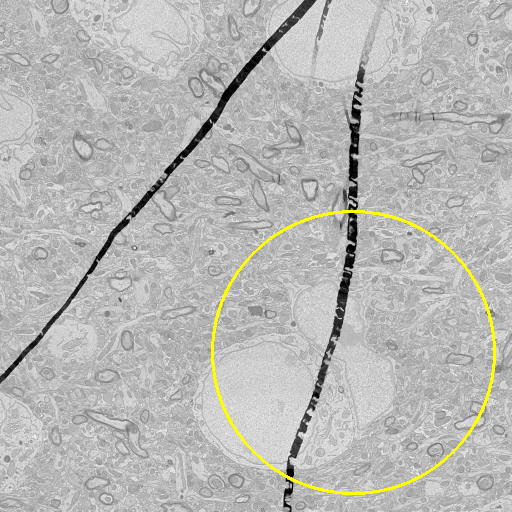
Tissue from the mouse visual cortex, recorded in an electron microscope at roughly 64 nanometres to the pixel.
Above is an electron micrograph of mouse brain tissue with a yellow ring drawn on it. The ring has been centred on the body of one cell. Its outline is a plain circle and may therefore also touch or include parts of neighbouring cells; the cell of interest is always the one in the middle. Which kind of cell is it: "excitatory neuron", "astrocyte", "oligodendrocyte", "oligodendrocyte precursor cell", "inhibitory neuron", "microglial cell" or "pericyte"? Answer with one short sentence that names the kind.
The ring's central cell body is that of an oligodendrocyte precursor cell.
